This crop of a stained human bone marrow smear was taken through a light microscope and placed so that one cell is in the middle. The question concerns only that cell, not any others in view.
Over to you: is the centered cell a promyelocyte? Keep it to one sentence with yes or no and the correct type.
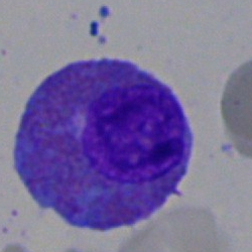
No, an eosinophil rather than a promyelocyte is the cell at the centre of the crop.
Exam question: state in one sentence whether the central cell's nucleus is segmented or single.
The nucleus amounts to one compact mass with a round, oval or kidney-shaped outline.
